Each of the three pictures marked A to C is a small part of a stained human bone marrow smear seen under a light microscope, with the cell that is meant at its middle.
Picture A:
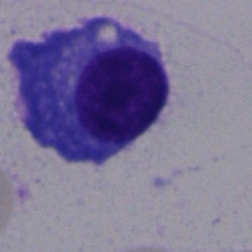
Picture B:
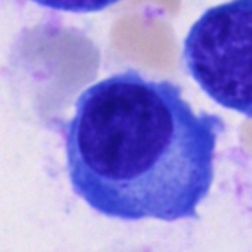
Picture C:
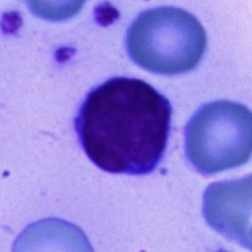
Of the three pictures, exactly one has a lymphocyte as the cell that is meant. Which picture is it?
C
